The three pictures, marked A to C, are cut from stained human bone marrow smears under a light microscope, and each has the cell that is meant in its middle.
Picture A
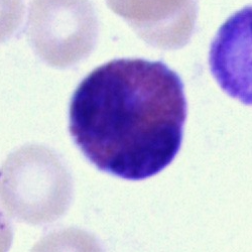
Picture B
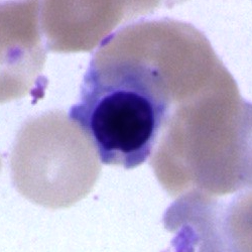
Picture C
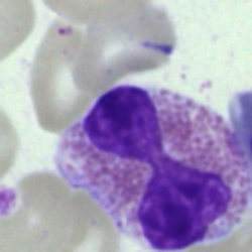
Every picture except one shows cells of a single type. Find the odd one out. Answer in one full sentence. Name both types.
Unlike the rest, which show eosinophils, picture B shows an erythroblast.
